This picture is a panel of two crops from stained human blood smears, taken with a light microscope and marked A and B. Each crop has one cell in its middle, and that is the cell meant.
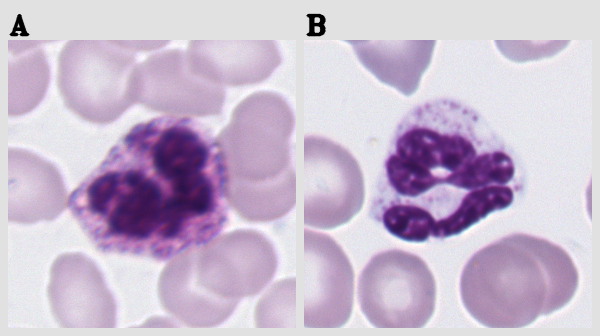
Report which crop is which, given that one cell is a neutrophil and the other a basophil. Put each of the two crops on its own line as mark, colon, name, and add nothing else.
A: basophil
B: neutrophil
